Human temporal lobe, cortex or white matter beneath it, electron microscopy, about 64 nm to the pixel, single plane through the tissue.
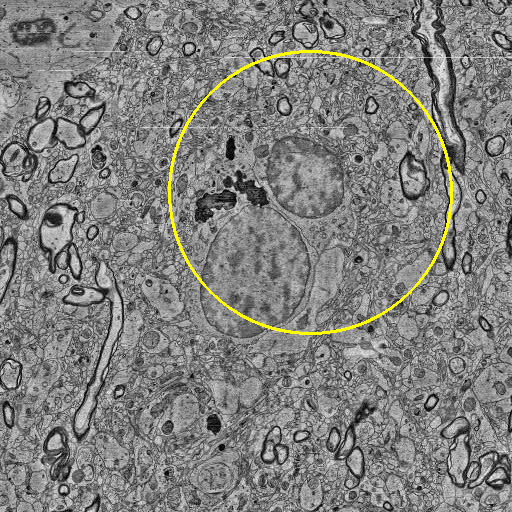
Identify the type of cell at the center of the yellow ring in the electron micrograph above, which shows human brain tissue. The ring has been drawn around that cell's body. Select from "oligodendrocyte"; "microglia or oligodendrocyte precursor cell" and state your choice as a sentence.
The yellow ring is centered on the body of an oligodendrocyte.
